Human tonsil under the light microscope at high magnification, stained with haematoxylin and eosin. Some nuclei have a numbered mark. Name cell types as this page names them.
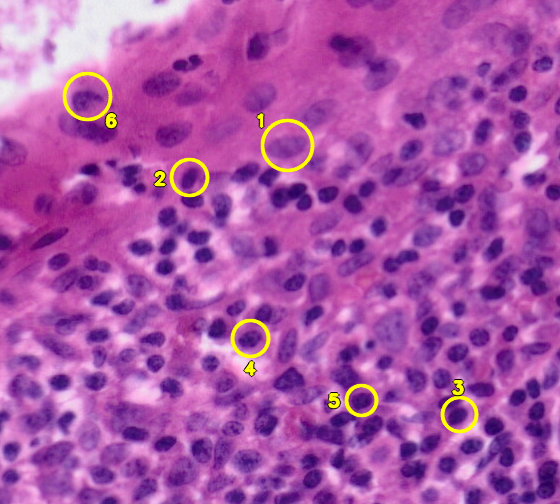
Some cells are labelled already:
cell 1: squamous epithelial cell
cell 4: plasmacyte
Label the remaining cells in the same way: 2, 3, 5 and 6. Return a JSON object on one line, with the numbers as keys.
{"2": "squamous epithelial cell", "3": "plasmacyte", "5": "plasmacyte", "6": "squamous epithelial cell"}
